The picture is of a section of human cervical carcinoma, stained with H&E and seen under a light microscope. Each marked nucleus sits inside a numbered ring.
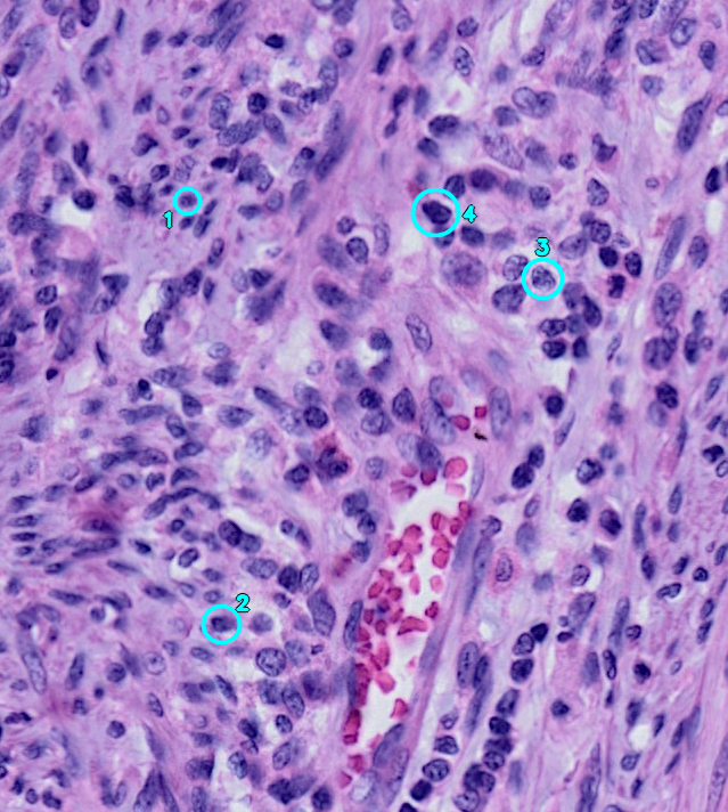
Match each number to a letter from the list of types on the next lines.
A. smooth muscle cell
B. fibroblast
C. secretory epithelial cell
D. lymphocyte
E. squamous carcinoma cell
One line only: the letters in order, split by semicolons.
B; D; D; D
